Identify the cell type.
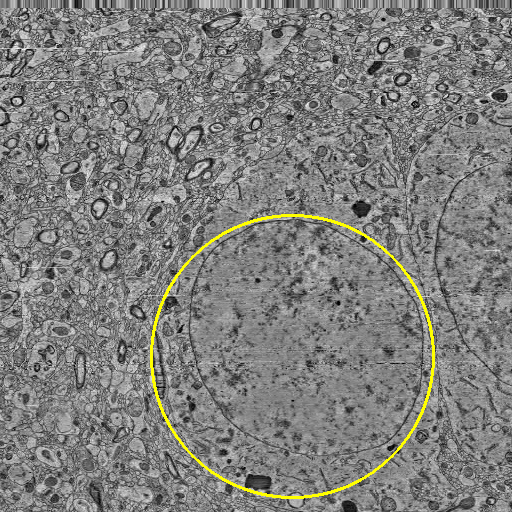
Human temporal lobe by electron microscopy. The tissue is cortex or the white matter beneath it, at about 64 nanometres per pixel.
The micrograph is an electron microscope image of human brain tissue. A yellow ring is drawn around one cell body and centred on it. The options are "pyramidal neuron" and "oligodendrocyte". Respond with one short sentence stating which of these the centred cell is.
The cell body in the ring belongs to a pyramidal neuron.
